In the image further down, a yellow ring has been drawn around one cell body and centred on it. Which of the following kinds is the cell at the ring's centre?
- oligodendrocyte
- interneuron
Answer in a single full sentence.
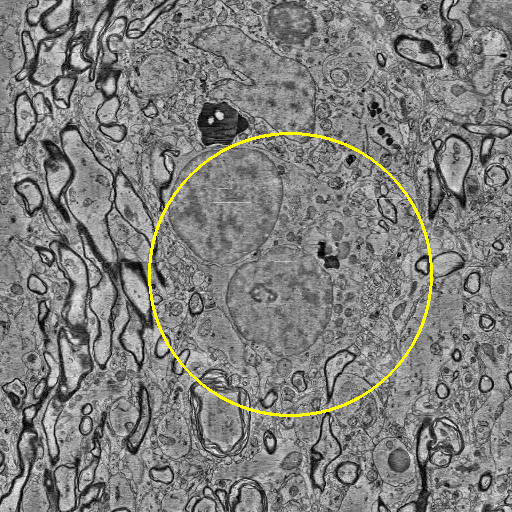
In the picture, the cell sitting at the centre of the yellow ring is an oligodendrocyte.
